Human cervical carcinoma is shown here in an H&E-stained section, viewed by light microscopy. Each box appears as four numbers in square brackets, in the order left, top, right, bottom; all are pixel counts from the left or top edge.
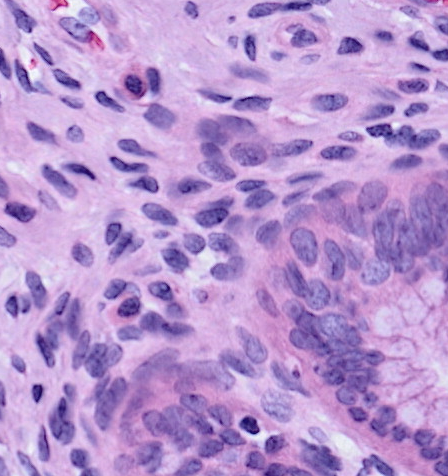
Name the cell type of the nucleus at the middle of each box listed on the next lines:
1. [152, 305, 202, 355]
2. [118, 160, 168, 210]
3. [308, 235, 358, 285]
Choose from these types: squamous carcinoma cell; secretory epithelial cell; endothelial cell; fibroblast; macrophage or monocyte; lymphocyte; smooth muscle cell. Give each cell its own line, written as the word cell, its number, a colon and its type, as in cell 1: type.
cell 1: fibroblast
cell 2: fibroblast
cell 3: secretory epithelial cell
